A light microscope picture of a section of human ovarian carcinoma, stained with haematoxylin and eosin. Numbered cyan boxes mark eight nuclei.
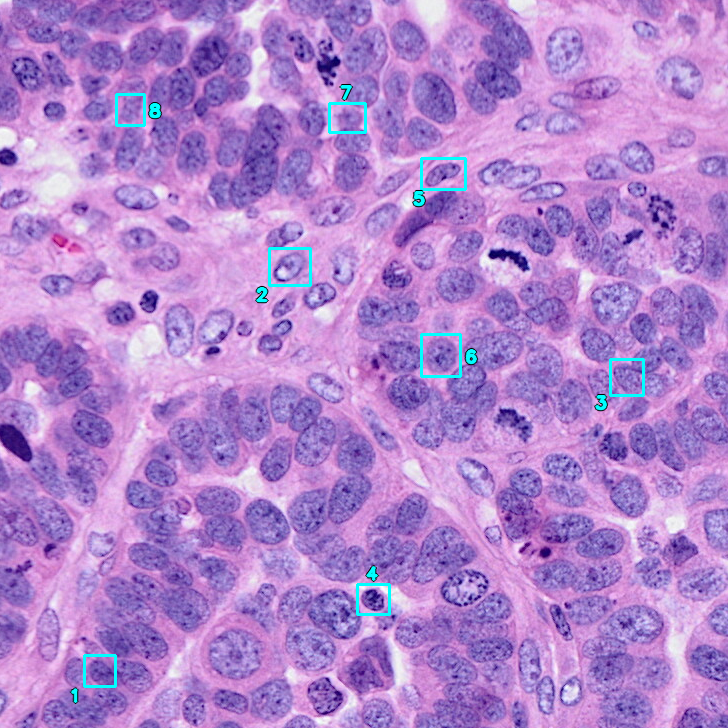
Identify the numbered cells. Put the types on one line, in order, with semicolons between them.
carcinoma cell; fibroblast; carcinoma cell; lymphocyte; macrophage or monocyte; carcinoma cell; carcinoma cell; carcinoma cell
